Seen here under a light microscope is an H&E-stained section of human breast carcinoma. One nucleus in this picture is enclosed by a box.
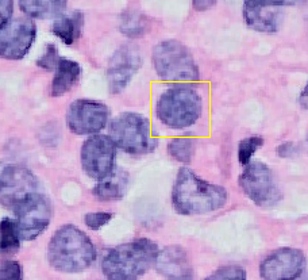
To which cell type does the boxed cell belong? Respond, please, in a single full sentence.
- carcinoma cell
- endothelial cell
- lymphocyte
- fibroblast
Speaking plainly, the boxed cell is nothing other than a carcinoma cell.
